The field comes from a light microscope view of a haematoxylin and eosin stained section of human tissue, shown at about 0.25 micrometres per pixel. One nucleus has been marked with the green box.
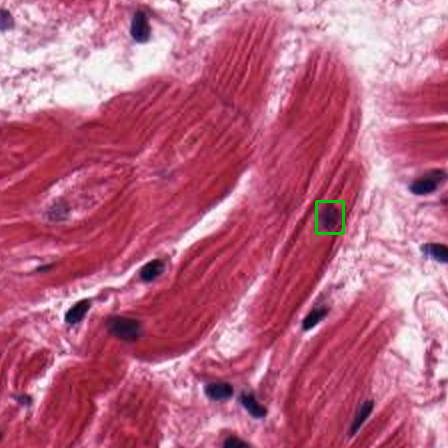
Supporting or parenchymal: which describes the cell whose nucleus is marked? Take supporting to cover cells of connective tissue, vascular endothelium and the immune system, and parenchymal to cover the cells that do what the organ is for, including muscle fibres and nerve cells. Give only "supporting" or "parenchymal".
parenchymal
